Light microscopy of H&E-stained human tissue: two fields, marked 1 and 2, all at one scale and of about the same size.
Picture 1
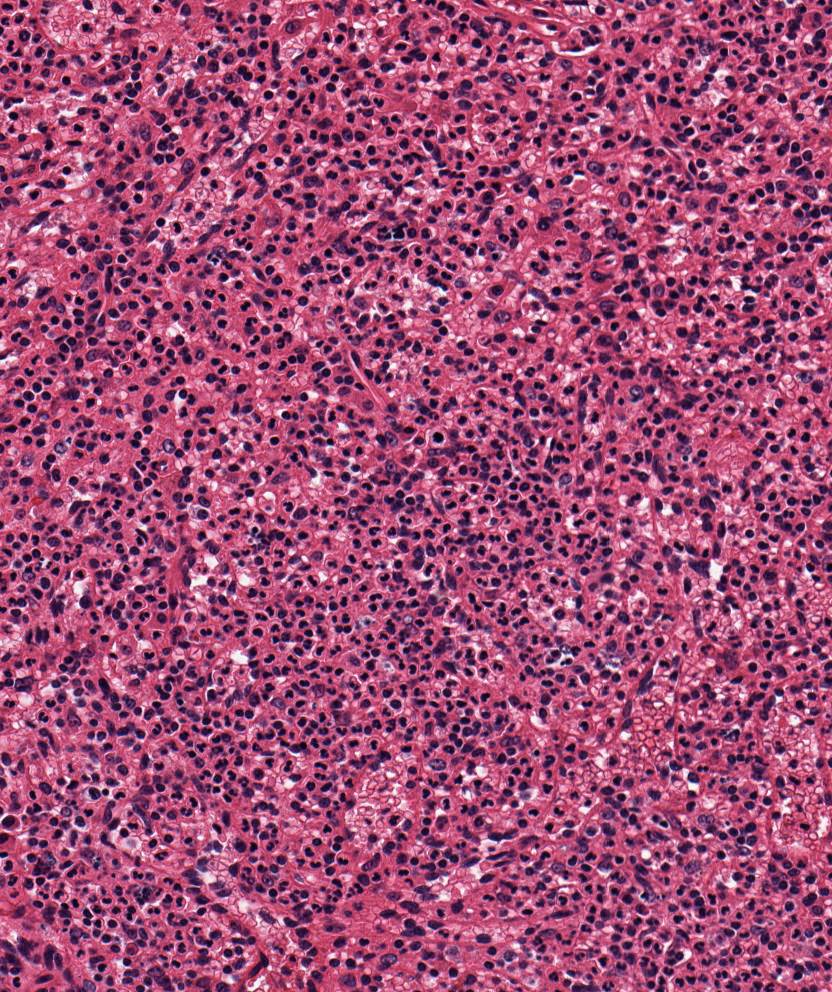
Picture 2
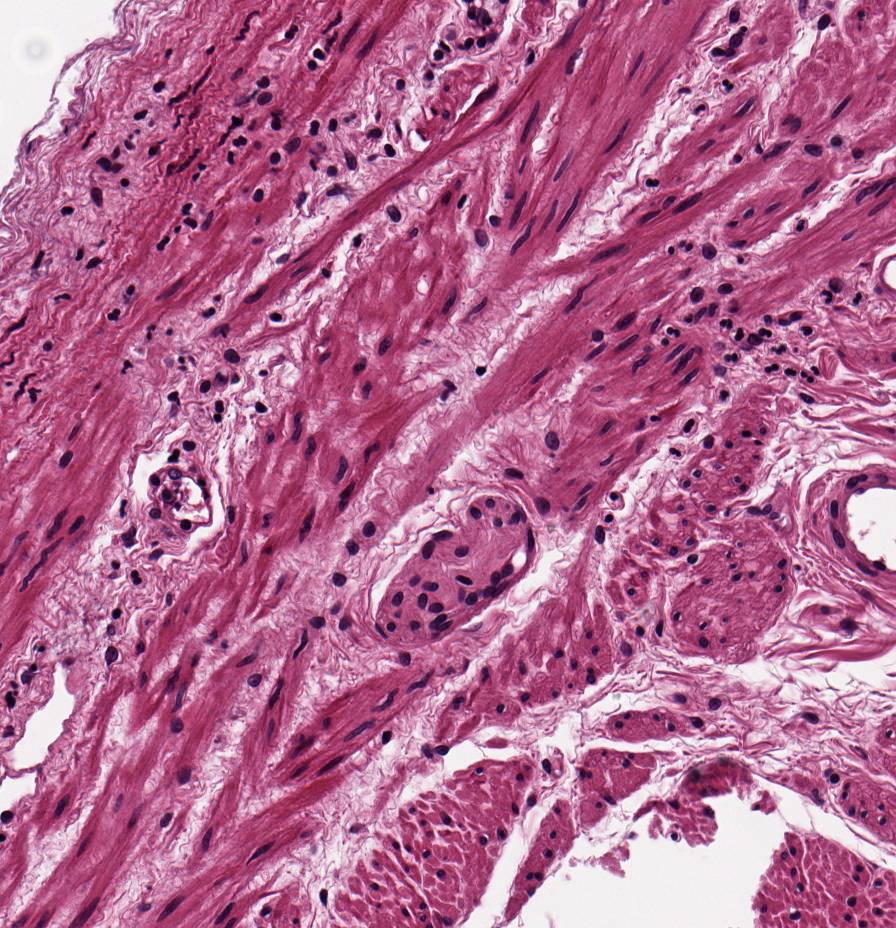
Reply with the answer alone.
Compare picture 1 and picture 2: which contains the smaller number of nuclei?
2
